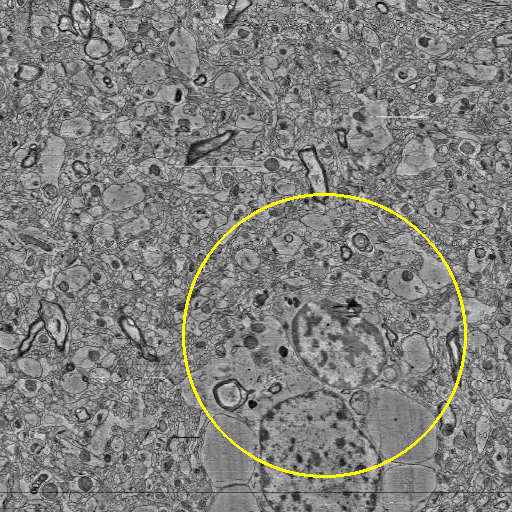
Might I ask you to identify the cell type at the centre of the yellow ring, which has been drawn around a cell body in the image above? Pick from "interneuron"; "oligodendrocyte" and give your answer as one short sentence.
The centre of the ring falls on an oligodendrocyte.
